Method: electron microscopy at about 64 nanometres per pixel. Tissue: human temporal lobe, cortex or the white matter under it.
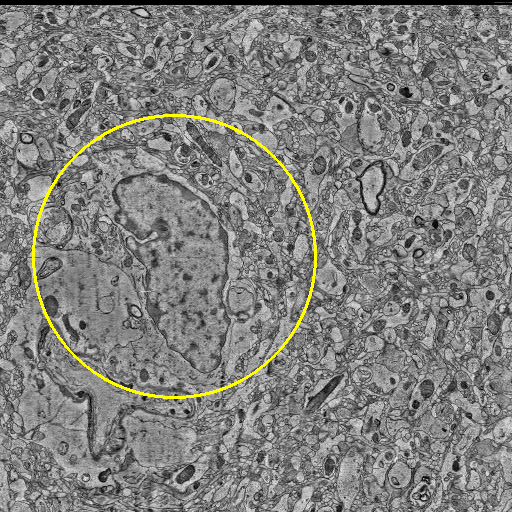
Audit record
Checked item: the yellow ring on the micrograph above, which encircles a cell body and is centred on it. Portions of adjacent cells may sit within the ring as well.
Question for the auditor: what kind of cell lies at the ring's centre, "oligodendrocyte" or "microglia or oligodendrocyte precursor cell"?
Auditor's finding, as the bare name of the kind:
microglia or oligodendrocyte precursor cell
